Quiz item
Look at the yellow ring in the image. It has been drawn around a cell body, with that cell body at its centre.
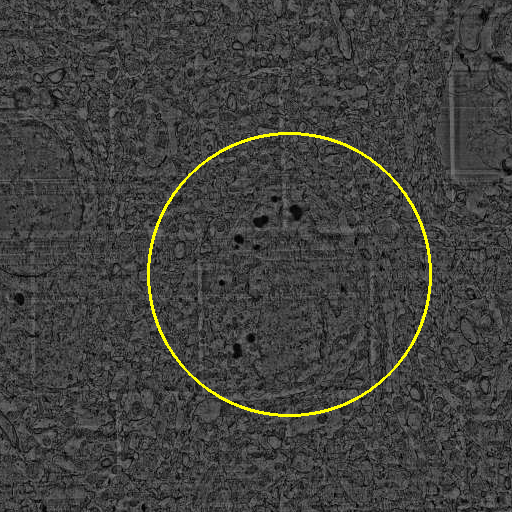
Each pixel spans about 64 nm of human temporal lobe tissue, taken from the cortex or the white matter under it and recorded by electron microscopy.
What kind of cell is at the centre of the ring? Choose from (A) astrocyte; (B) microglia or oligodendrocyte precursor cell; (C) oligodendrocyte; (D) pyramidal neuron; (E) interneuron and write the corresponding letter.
E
